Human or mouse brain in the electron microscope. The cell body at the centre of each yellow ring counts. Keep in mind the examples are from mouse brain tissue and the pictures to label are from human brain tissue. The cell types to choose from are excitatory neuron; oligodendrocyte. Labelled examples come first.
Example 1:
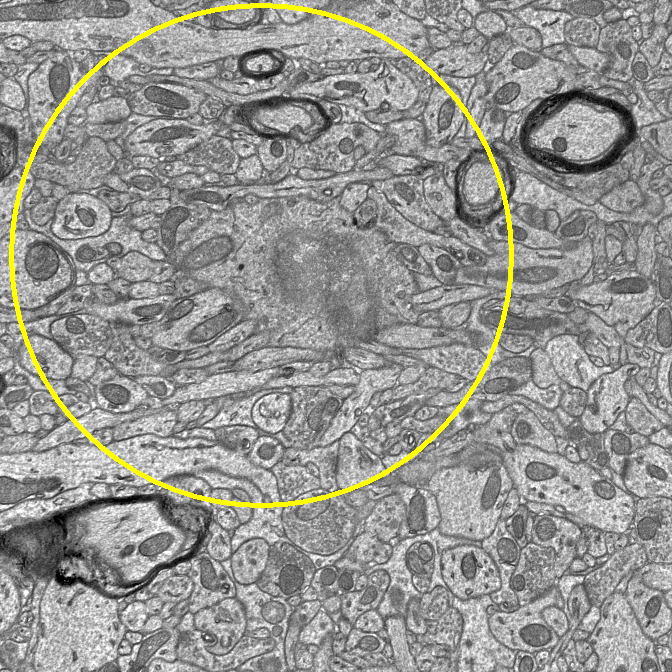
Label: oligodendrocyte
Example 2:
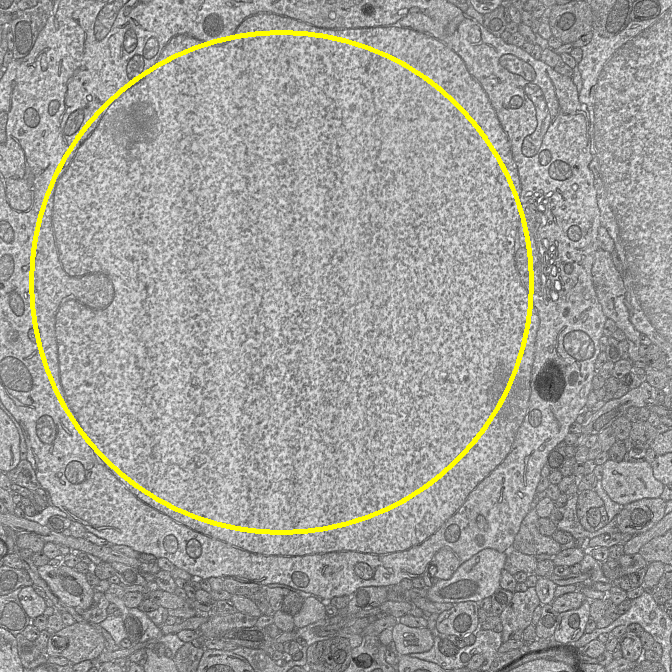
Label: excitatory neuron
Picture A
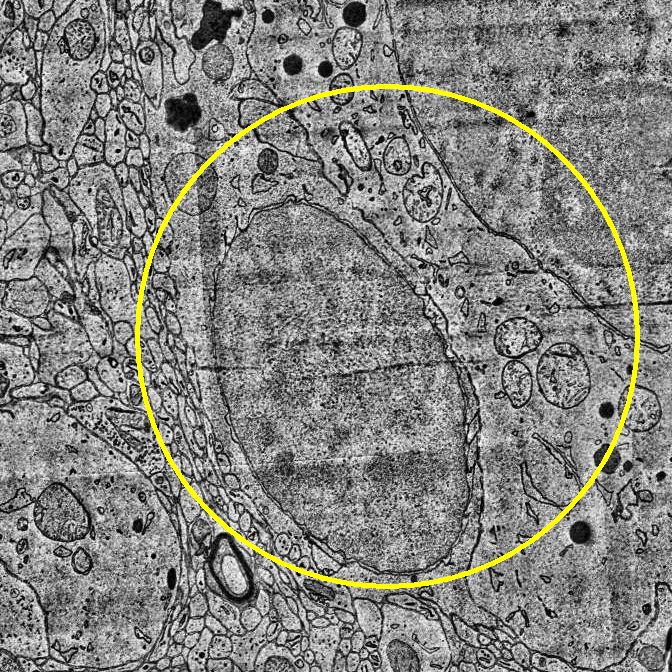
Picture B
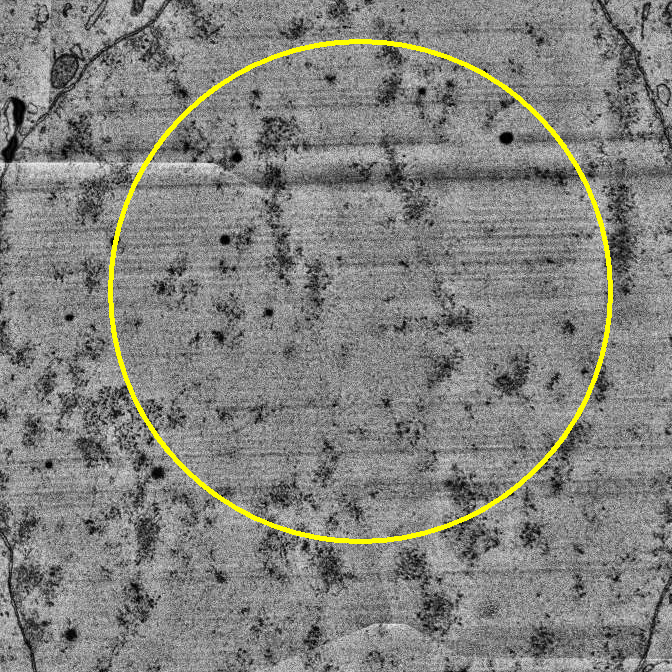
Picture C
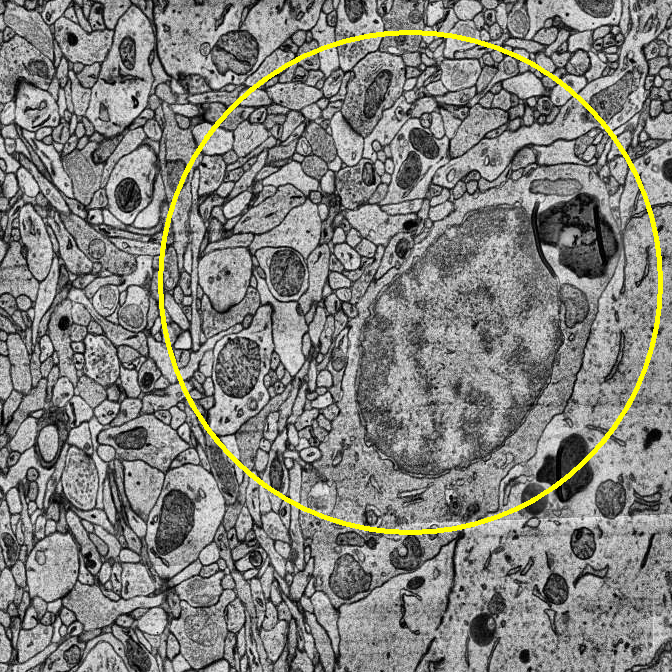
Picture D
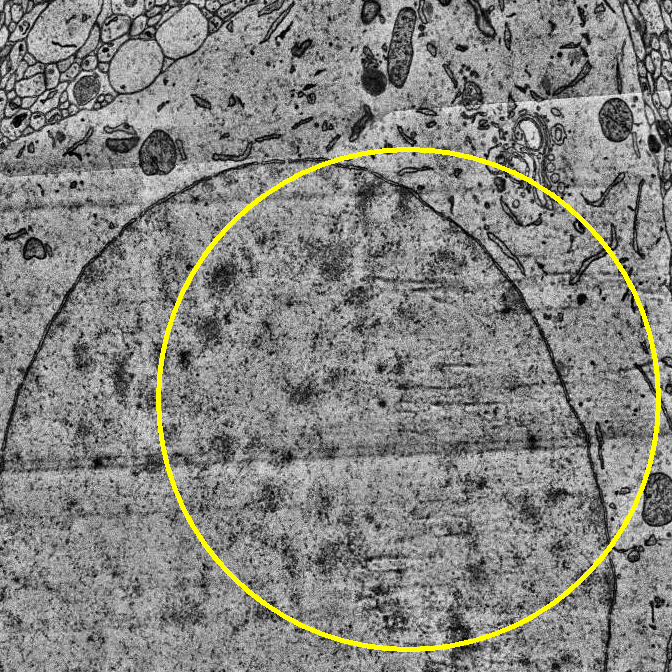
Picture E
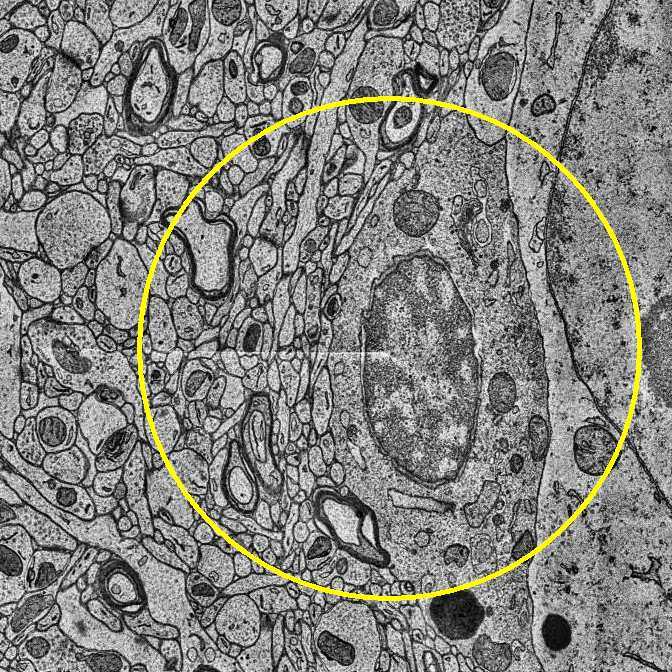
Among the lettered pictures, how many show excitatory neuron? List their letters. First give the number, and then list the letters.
Count: 2 (B, D)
